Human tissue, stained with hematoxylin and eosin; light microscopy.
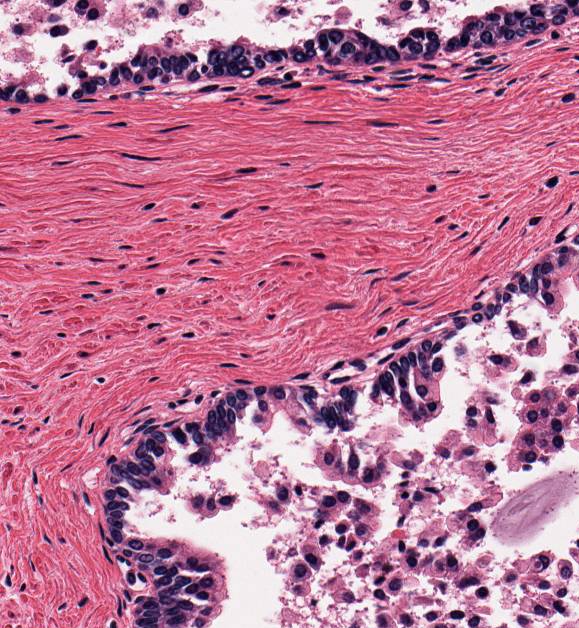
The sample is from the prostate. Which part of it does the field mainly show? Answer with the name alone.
fibromuscular stroma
